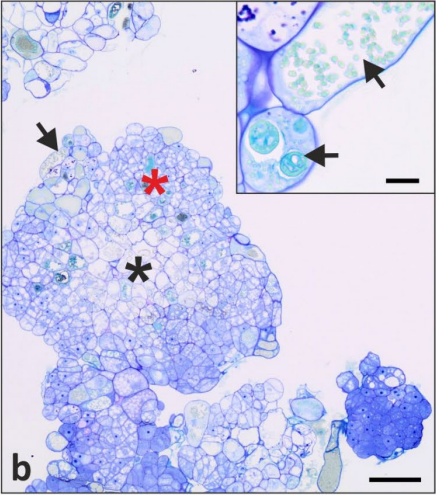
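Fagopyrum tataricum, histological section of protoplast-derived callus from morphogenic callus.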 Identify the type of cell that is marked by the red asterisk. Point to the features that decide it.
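They are tightly packed within the cell cluster. On this evidence: meristematic cells.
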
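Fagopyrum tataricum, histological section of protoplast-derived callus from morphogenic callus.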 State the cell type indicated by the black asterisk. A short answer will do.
Parenchymatous cells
